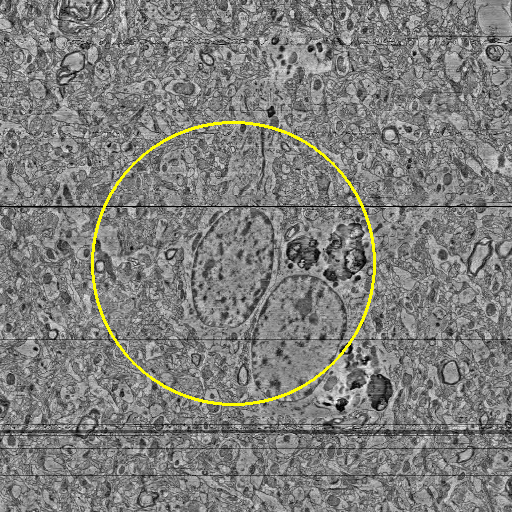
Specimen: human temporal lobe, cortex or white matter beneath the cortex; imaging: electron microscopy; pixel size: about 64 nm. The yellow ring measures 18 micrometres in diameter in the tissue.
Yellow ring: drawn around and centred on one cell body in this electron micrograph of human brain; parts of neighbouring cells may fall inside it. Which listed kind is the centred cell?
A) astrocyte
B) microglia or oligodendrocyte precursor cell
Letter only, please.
A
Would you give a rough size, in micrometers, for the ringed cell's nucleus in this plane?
The nucleus is about 8 micrometres in length and 5 in width, clearly longer than it is wide in this plane.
